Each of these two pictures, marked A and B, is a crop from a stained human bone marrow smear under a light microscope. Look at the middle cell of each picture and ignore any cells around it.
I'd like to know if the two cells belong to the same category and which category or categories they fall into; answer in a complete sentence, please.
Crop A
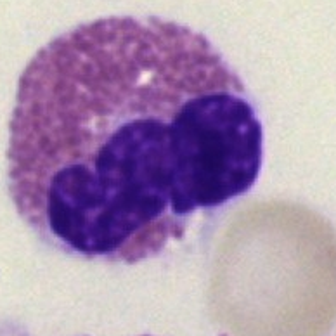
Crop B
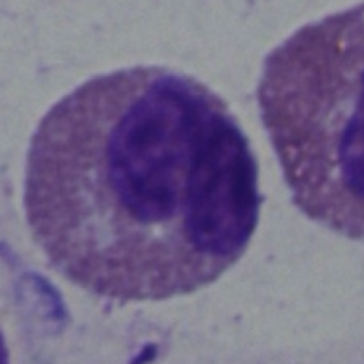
Yes, the two crops show eosinophils at their centres.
